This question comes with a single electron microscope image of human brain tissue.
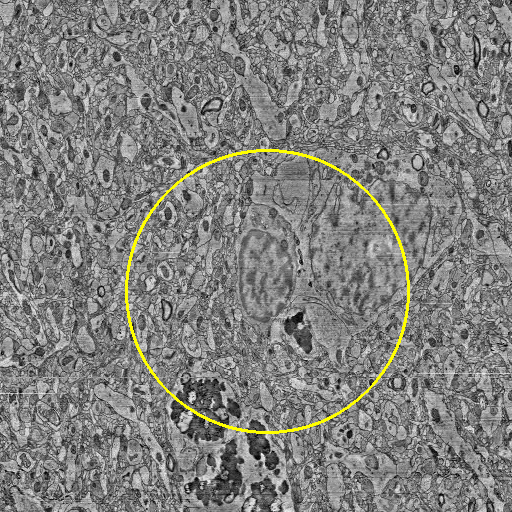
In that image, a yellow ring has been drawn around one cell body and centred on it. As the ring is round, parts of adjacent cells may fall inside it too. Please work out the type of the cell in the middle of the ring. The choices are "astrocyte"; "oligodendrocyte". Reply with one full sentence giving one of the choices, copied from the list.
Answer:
Of the choices, an oligodendrocyte is the cell sitting in the middle of the ring.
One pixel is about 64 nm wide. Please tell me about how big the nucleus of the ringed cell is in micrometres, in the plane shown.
About 6 by 4 micrometers, in this plane.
